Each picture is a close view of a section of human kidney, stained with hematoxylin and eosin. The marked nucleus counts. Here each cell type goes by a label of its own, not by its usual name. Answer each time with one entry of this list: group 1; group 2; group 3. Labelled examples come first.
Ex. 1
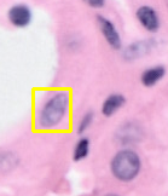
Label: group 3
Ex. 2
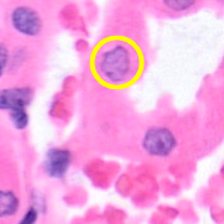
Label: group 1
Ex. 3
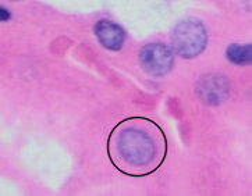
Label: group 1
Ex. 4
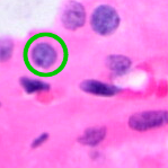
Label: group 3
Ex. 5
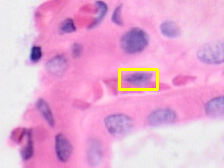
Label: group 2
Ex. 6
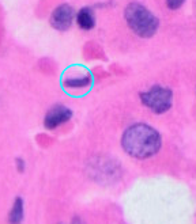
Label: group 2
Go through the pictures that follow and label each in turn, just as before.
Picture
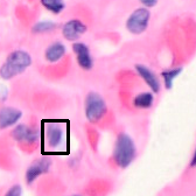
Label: group 2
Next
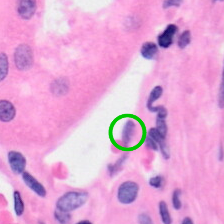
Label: group 2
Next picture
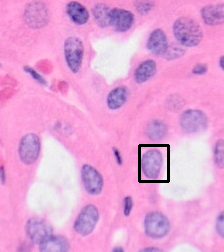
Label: group 3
